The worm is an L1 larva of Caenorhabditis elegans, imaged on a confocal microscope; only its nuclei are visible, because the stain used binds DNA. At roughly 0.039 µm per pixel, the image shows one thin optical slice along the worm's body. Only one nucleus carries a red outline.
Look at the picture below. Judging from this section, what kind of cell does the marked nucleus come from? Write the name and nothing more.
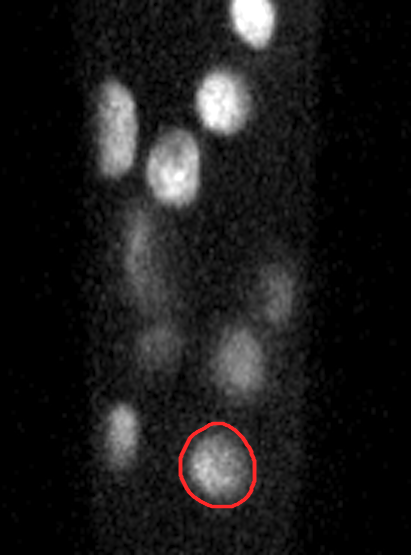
Q neuroblast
